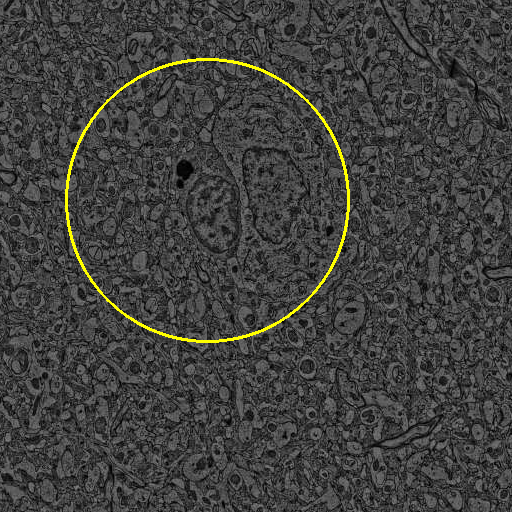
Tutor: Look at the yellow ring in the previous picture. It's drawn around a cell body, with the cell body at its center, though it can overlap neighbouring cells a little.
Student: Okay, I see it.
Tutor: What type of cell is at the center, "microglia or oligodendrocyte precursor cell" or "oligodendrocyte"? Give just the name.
oligodendrocyte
